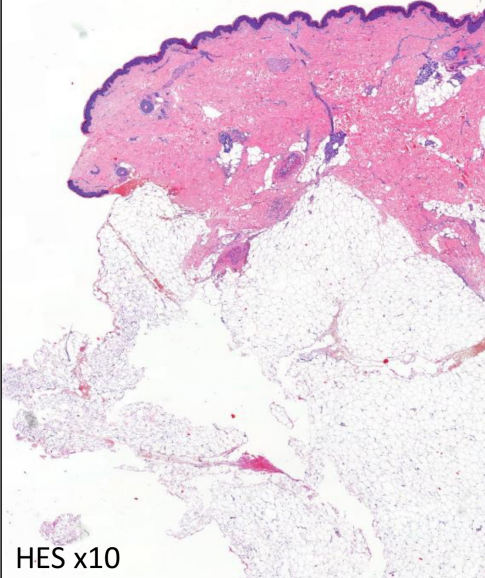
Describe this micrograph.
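A low-power section of skin shows a thin, dark-purple epidermis overlying a markedly thickened dermis made of dense, pink-staining collagen. Small purple clusters of adnexal structures and vessels lie scattered within the dense dermis. Beneath it lies a broad zone of pale fatty tissue with empty-looking adipocytes, into which thick pink fibrous bands and septa extend downward from the dermis. Only sparse small purple cell clusters are seen within the fibrous tissue.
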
